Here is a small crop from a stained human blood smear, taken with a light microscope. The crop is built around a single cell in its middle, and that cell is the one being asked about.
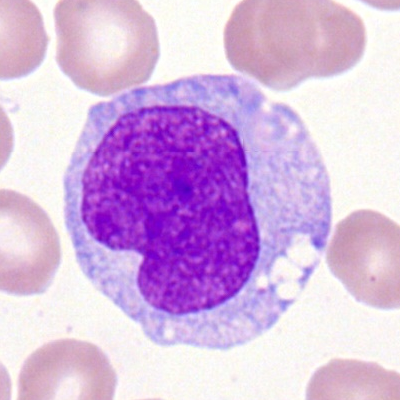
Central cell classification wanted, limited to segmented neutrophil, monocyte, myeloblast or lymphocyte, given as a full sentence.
The cell found in the middle of this crop is a monocyte.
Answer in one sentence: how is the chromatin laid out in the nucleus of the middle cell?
Chromatin texture is fine, and coarse clumps are absent.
